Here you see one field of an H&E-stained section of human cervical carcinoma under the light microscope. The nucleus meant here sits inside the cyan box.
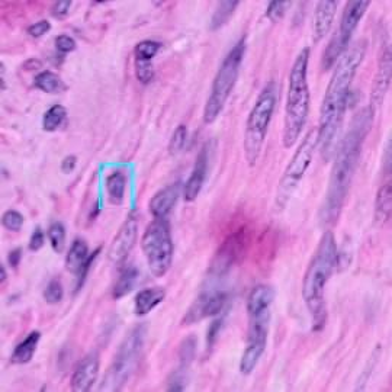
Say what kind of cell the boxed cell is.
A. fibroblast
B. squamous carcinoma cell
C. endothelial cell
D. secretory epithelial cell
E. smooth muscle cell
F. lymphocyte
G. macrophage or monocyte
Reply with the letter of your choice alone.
E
